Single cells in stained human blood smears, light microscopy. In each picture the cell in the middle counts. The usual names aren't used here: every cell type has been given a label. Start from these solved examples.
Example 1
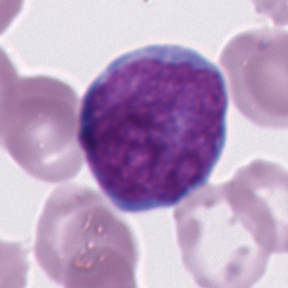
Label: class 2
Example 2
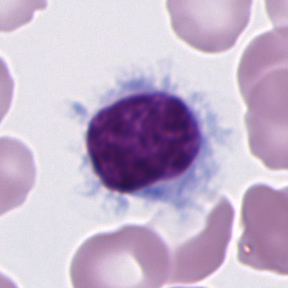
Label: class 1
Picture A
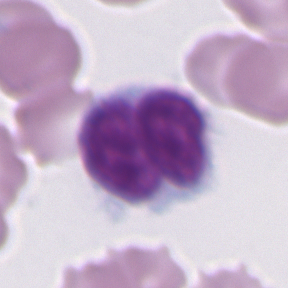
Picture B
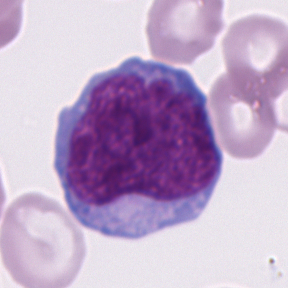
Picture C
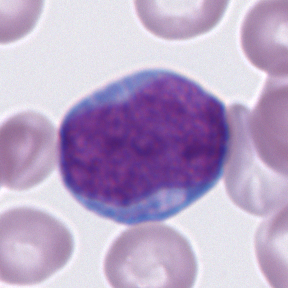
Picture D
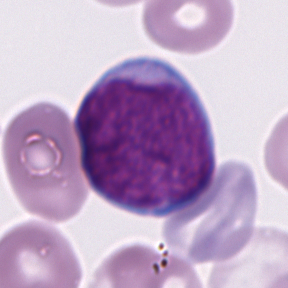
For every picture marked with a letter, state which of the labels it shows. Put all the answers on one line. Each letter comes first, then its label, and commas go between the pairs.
A class 1, B class 2, C class 2, D class 2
